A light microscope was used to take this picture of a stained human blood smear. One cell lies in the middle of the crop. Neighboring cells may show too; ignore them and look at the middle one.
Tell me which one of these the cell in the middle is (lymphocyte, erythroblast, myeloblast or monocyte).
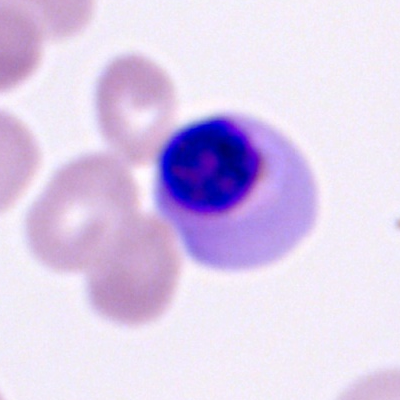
erythroblast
